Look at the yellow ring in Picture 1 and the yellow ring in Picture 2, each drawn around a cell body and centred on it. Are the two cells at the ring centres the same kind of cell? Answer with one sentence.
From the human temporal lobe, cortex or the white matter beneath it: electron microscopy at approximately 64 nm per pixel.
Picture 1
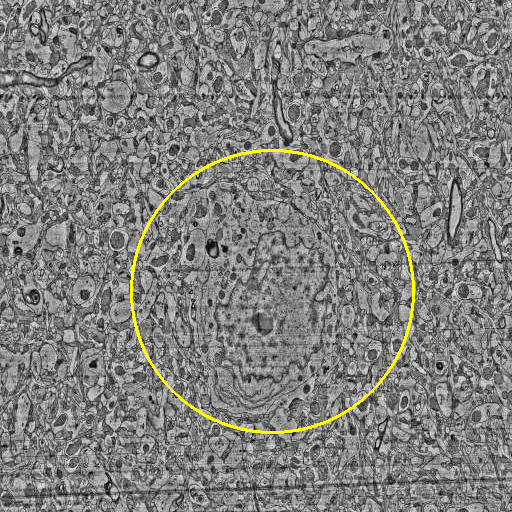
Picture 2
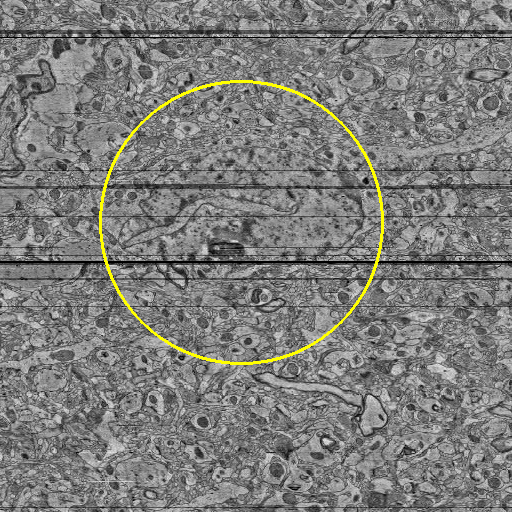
Yes, both are the same kind of cell.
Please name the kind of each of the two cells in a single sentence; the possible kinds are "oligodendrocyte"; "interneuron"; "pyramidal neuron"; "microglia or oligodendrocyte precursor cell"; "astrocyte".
Each of the ringed cells, first and second, is an interneuron.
